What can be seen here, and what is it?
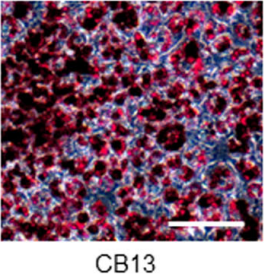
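Cultured cells differentiating into adipocytes lie densely packed across the field, most of them rounded. Their cytoplasm is crowded with many small round droplets stained deep red, which in places merge into dark red-black clusters that obscure the nucleus.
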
